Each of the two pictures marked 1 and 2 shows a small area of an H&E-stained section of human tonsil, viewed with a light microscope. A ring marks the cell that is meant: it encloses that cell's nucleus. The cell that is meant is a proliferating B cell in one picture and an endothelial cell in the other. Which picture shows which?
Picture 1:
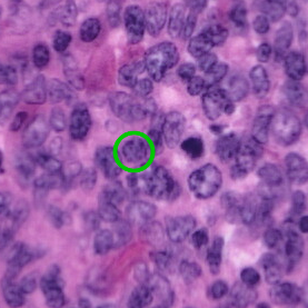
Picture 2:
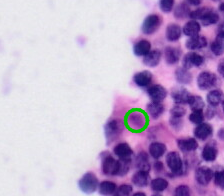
1: proliferating B cell
2: endothelial cell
